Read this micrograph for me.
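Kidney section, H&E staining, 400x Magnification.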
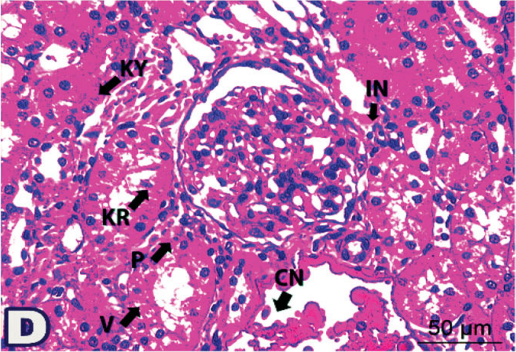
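Renal cortex with a central glomerulus and surrounding tubules showing injury. The glomerular tuft is cellular and packed with purple nuclei. The interstitium around the glomerulus is widened and crowded with small dark nuclei and elongated cells, an inflammatory infiltrate. Several tubule cells have pale, foamy, vacuolated cytoplasm.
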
